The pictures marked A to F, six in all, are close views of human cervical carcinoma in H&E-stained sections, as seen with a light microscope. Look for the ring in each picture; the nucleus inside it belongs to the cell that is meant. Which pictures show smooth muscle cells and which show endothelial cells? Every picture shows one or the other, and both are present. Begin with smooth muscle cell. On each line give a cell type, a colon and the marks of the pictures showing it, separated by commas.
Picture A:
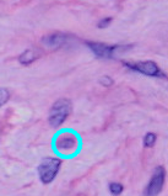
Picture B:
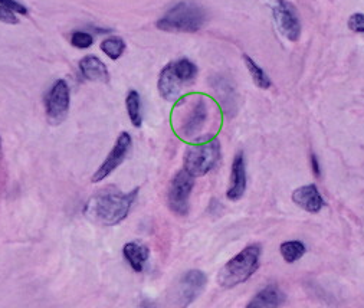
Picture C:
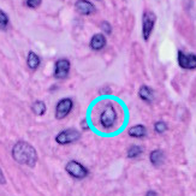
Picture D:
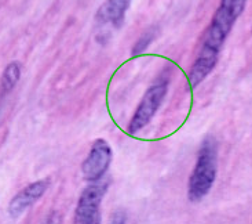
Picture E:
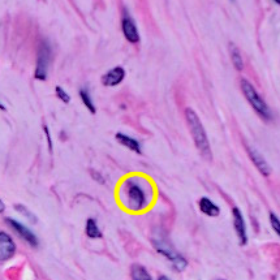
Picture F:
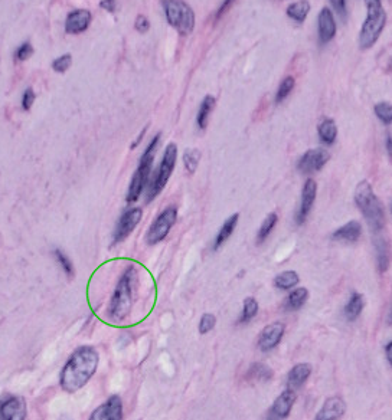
smooth muscle cell: A, C, D, E
endothelial cell: B, F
